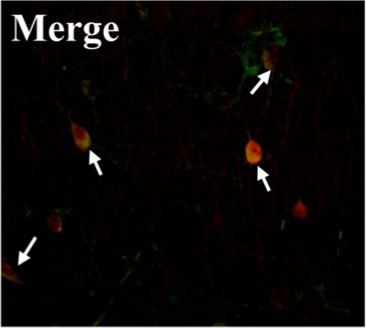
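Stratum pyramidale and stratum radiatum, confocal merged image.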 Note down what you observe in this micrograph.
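In this hippocampal section a few scattered interneurons stand out singly against a dark background, each with a rounded to oval cell body and thin processes. Several of these cell bodies appear yellow-orange, meaning the red and green labels lie in the same cells, and white arrows point to them. A few other cells remain mostly red, and faint green fibres and puncta run through the surrounding neuropil. The sparse, isolated distribution of the labelled somata fits interneurons rather than the densely packed principal cells.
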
